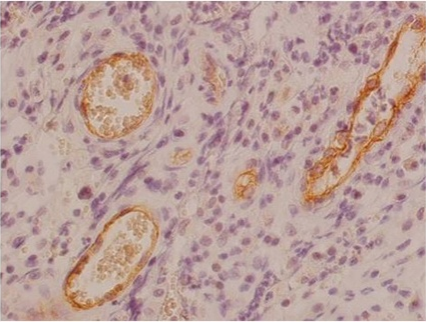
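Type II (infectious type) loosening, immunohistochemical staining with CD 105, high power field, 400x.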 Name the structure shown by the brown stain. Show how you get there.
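Vessel endothelium. Brown stain outlines oval and elongated channels. The brown layer is a thin lining one cell thick.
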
